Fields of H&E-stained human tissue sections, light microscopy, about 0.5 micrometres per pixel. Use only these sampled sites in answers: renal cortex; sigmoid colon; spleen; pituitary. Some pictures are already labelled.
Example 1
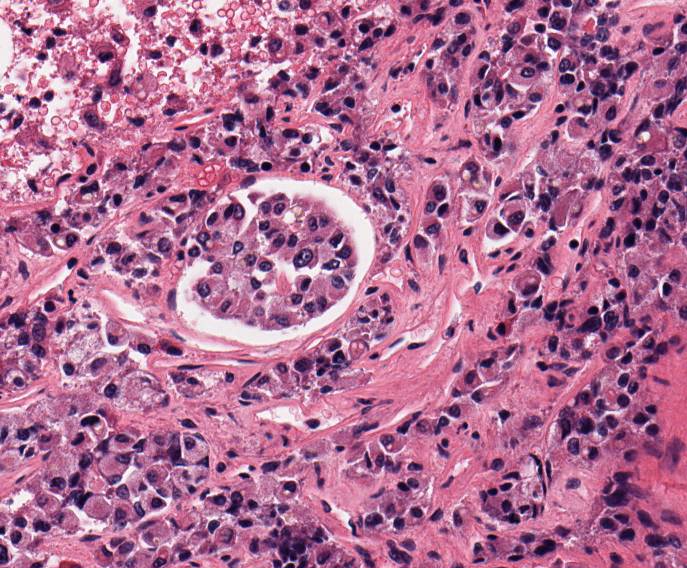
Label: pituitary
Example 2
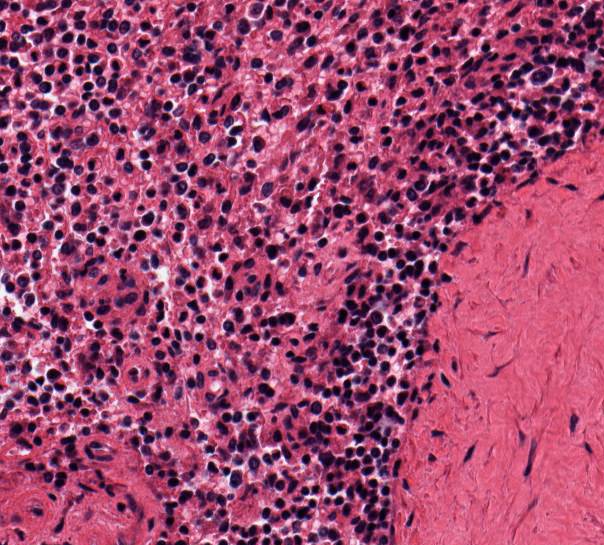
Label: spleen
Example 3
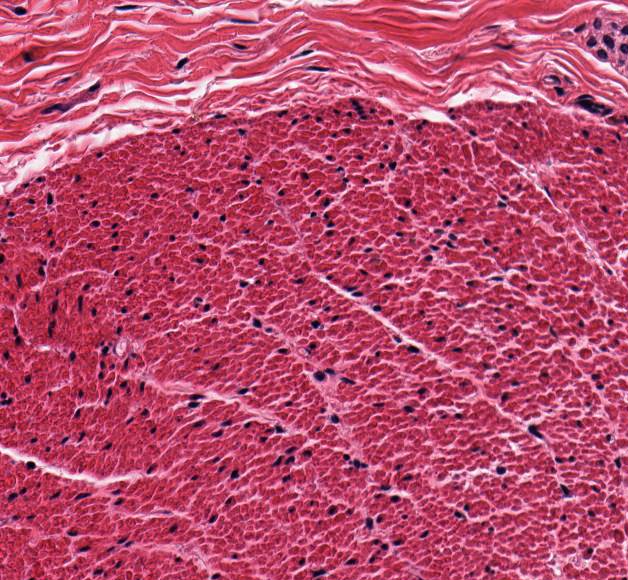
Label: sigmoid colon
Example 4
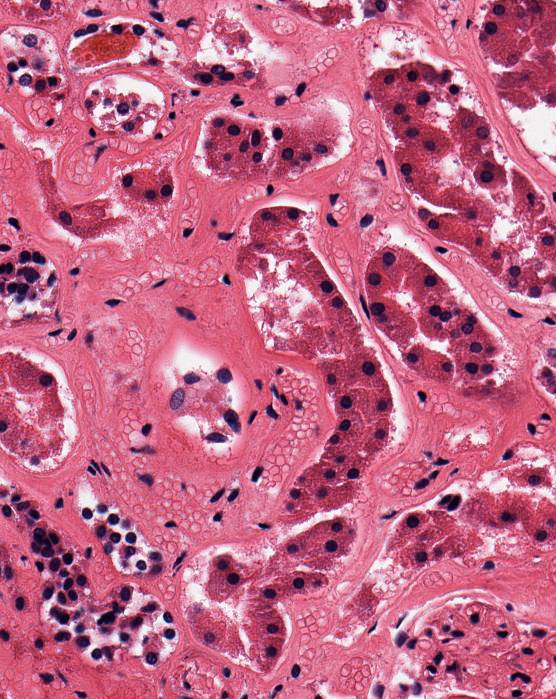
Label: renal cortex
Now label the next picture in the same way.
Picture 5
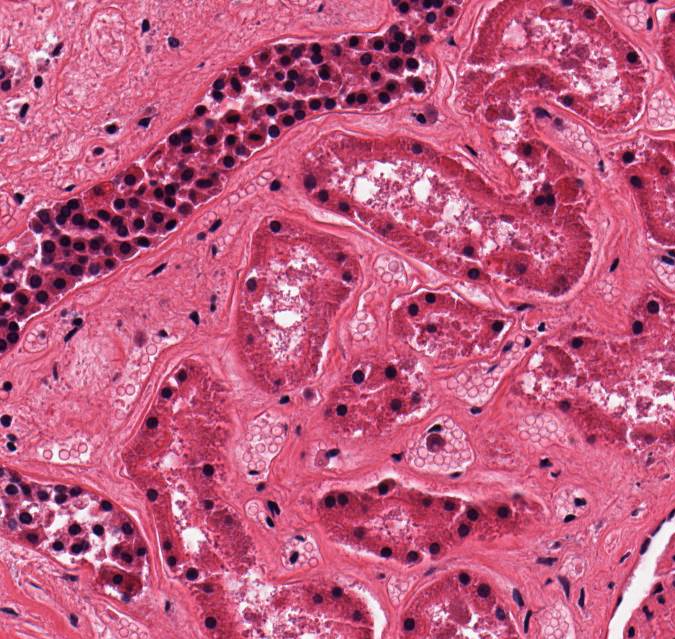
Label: renal cortex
